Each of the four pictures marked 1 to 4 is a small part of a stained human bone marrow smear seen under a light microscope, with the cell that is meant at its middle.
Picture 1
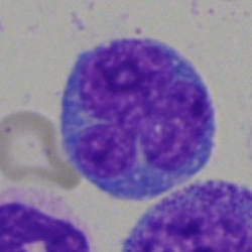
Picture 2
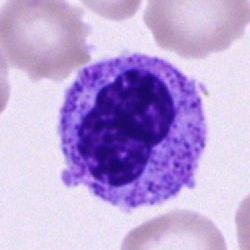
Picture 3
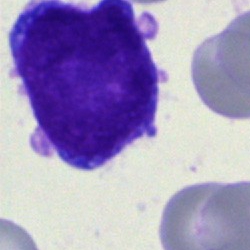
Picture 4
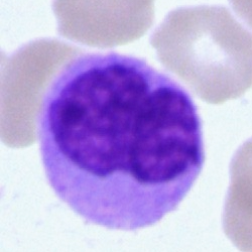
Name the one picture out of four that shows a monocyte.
4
